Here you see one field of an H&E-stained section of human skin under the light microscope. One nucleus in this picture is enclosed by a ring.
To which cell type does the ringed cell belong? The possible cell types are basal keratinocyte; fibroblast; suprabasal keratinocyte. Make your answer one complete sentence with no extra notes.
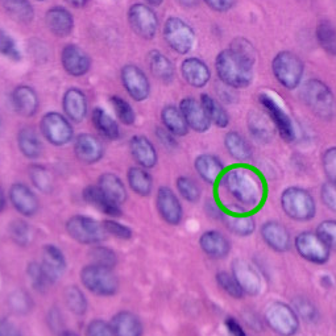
Cytologically, the ringed cell is to be regarded as a suprabasal keratinocyte.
